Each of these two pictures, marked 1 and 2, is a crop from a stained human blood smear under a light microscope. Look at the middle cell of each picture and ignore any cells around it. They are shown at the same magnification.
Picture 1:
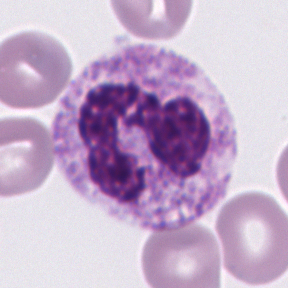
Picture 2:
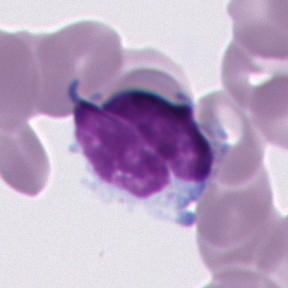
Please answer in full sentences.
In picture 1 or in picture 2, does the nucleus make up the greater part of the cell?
The nucleus fills more of the cell in picture 2 than in picture 1.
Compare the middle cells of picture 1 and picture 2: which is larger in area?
It is the cell in picture 1, about 2 times as large in area as the cell in picture 2.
